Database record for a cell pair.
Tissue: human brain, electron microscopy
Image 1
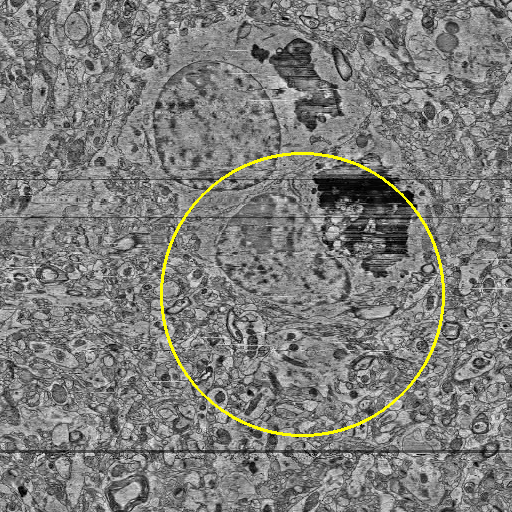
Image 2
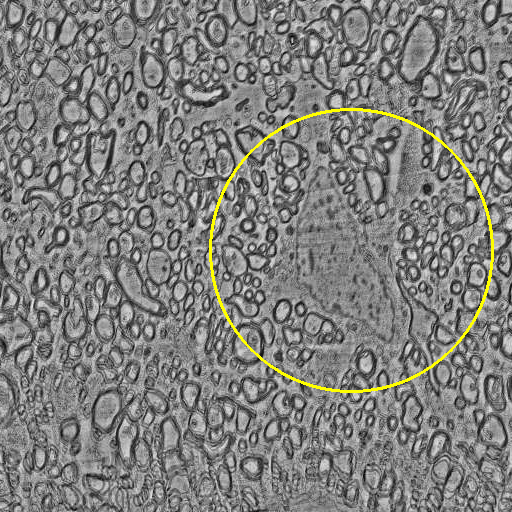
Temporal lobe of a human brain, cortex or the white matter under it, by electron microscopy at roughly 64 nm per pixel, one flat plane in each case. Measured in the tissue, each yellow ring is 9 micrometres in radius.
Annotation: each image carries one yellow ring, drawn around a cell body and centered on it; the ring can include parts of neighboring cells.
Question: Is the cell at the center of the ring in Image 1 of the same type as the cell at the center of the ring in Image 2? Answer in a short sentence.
Yes, the cells are of the same type.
